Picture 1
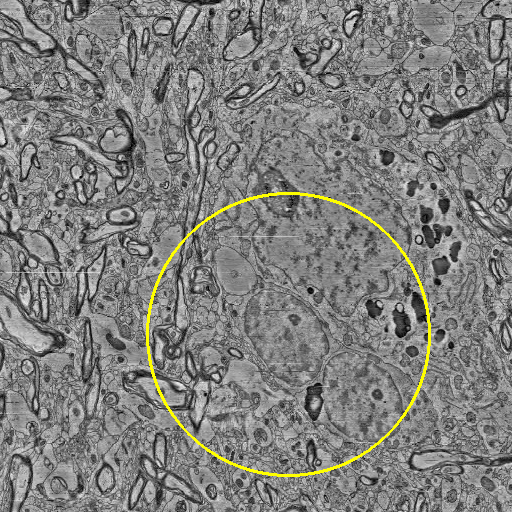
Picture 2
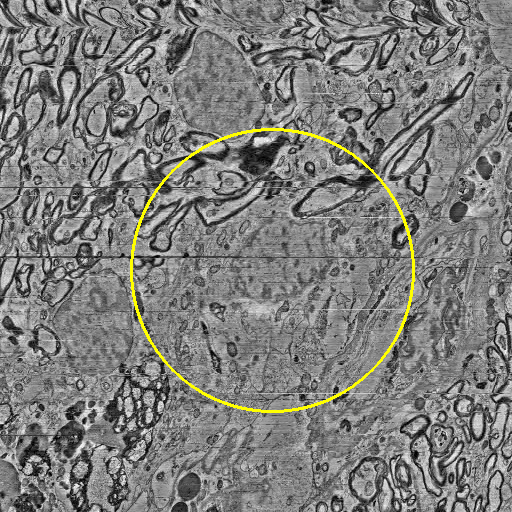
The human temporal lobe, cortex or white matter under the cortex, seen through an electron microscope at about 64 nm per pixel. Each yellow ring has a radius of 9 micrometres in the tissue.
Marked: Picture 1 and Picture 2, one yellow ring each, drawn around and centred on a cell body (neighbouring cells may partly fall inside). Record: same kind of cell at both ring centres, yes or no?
no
